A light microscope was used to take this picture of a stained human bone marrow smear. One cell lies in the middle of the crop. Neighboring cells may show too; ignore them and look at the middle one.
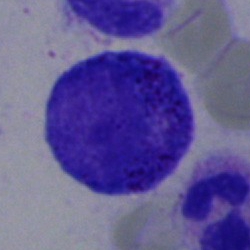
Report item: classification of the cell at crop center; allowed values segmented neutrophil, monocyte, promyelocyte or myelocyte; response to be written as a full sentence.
To answer, the cell in the center of the crop is a promyelocyte.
